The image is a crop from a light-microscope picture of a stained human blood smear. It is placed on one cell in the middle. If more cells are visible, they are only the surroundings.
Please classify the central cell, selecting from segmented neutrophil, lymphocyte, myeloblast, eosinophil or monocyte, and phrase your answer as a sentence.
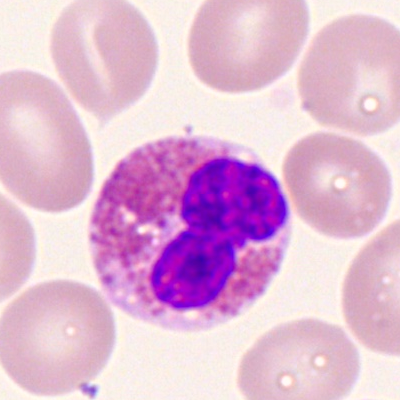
Within this crop, an eosinophil occupies the central position.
